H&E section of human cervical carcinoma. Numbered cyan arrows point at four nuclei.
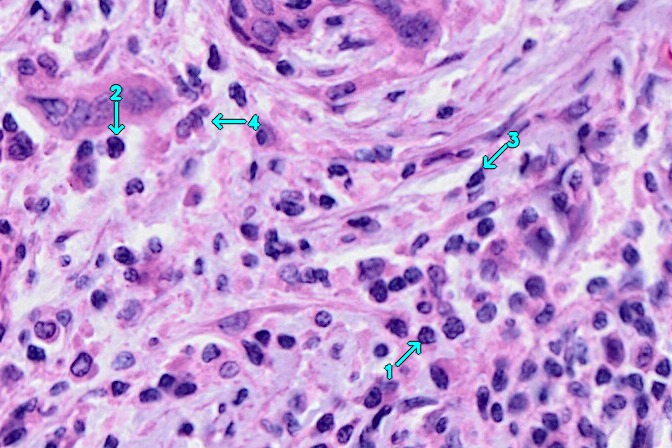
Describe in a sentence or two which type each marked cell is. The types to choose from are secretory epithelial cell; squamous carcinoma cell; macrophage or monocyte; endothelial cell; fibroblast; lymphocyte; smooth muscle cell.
Cell 1 is a lymphocyte, cell 2 is a lymphocyte, cell 3 is a lymphocyte and cell 4 is a macrophage or monocyte.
